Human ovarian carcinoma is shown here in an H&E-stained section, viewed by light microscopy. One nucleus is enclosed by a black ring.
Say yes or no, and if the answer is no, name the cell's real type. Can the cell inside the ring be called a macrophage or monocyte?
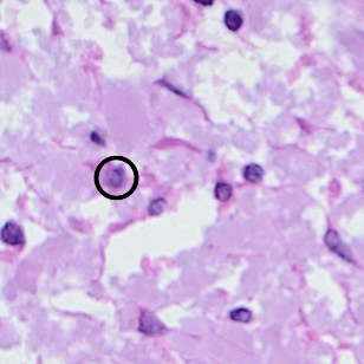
Yes.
